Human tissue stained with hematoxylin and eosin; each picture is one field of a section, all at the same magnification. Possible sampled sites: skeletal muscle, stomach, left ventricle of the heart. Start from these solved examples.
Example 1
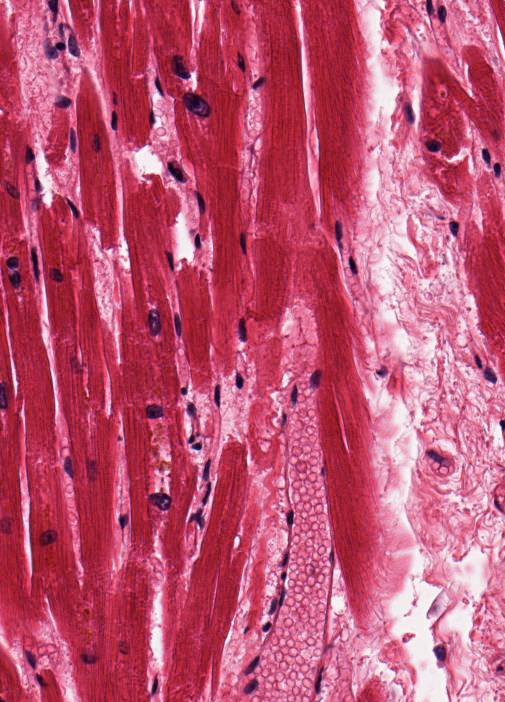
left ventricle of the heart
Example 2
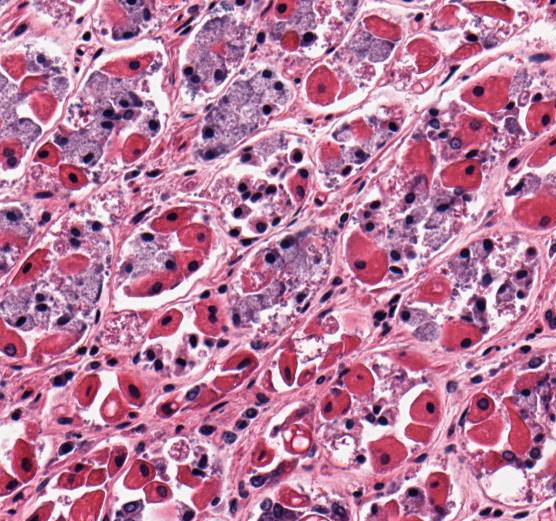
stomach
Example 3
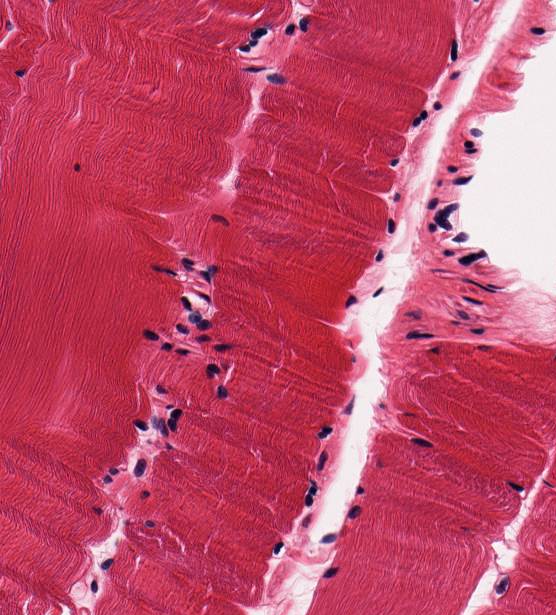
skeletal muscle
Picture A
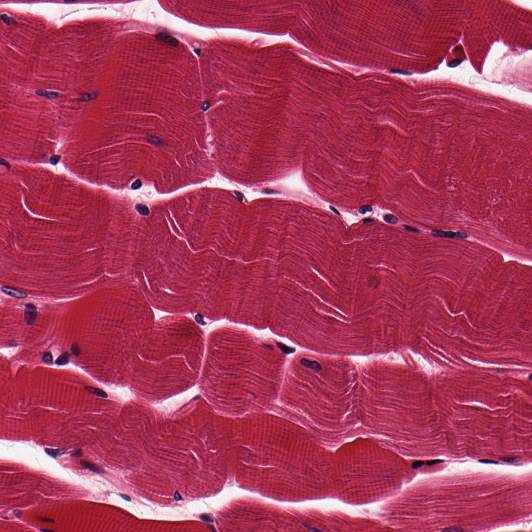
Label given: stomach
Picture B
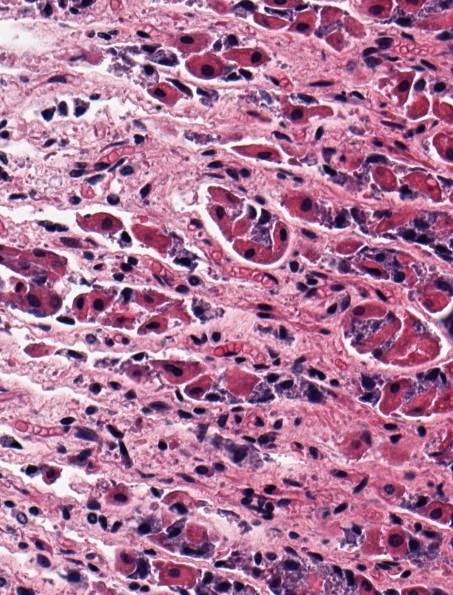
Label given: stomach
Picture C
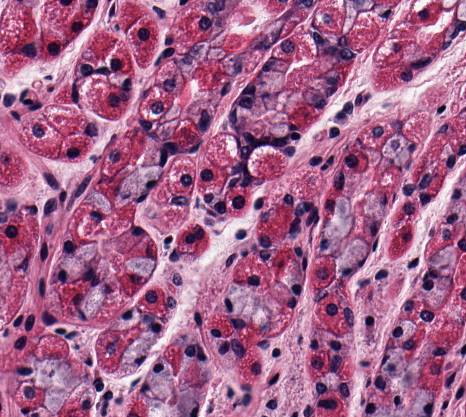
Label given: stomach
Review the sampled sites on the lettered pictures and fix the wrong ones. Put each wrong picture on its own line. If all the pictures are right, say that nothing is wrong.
Wrong: A (stomach); correct: skeletal muscle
